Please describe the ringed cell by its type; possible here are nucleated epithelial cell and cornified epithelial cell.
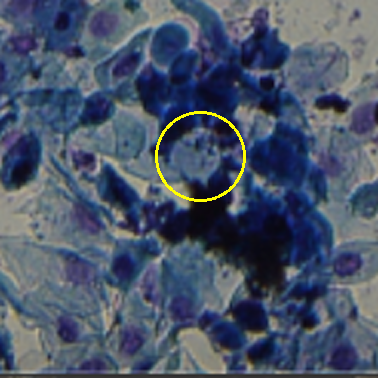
The yellow ring marks a cornified epithelial cell.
